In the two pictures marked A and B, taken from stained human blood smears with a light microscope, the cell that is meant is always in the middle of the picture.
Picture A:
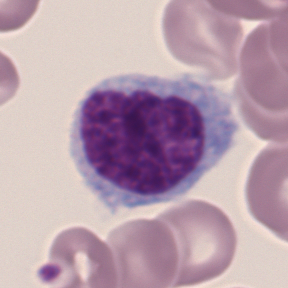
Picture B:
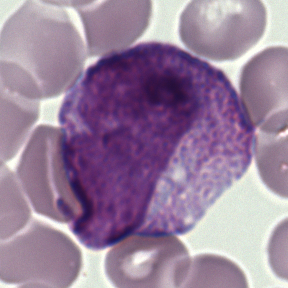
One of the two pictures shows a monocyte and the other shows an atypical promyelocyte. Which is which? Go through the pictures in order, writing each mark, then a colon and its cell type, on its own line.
A: monocyte
B: atypical promyelocyte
